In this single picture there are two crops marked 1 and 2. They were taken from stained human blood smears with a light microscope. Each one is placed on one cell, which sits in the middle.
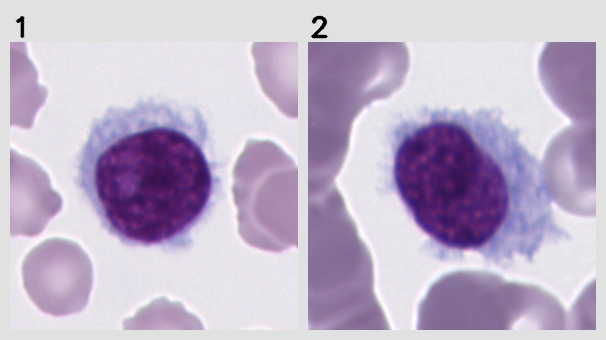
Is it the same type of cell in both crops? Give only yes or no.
yes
